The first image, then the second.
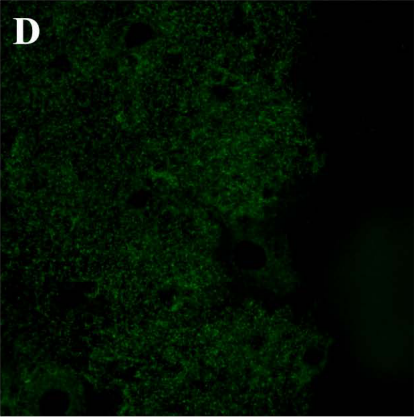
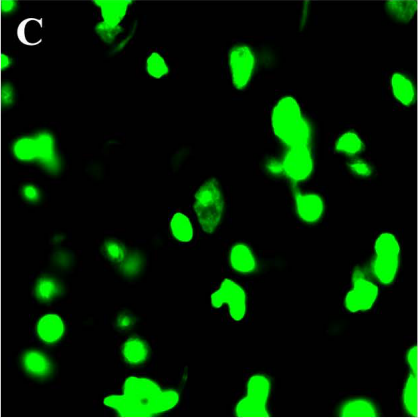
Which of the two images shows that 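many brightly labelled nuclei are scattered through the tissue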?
the second image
